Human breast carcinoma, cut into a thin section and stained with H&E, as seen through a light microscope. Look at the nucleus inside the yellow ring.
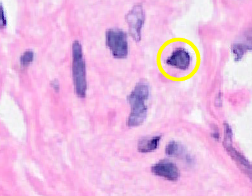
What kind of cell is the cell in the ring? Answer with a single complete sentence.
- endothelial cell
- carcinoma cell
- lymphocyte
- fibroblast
In the tissue under study, the cell in the ring is a lymphocyte.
